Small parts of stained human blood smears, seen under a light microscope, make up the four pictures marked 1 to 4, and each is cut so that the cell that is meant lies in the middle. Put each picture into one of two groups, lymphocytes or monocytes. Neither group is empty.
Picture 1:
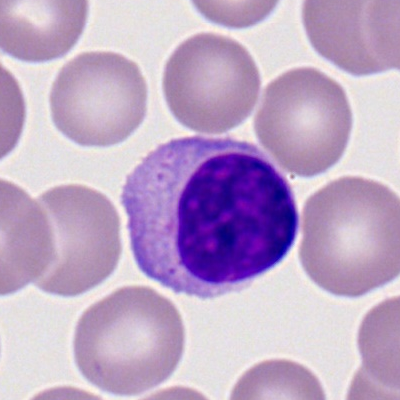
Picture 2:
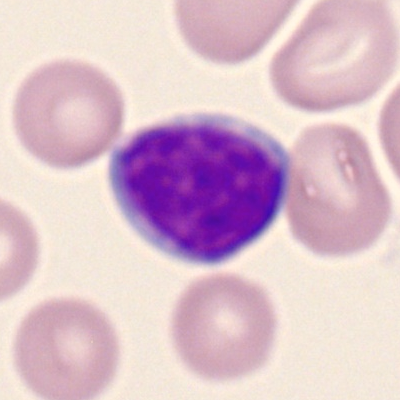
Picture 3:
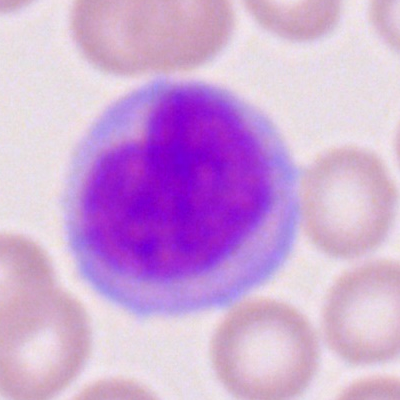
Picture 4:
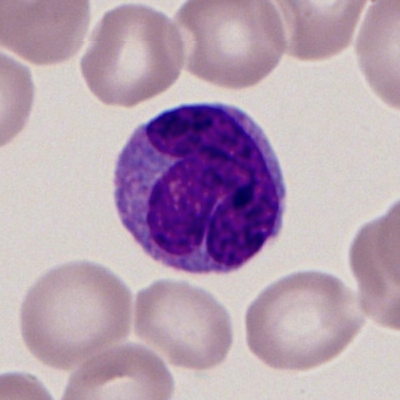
1: lymphocyte
2: lymphocyte
3: monocyte
4: monocyte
